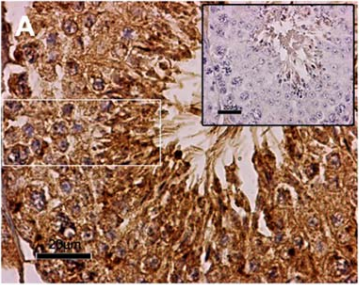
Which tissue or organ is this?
seminiferous epithelium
